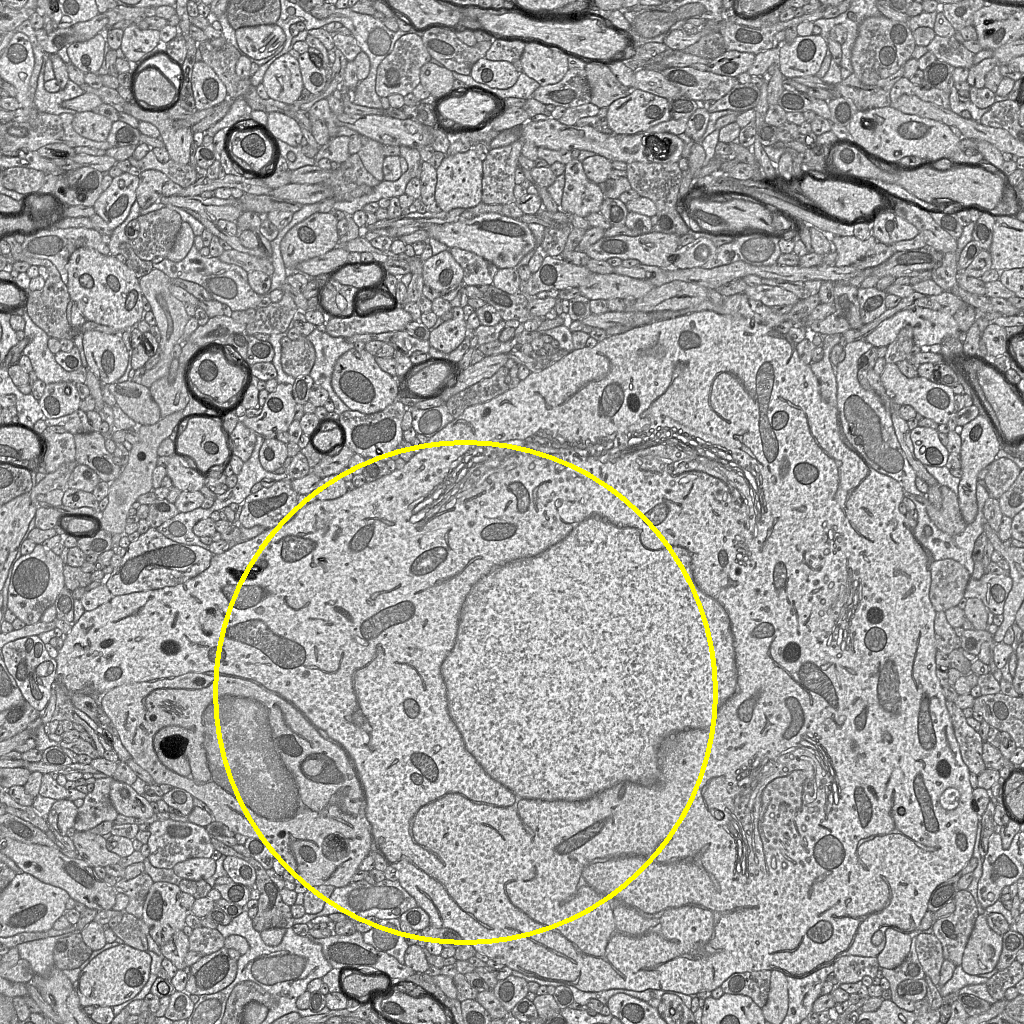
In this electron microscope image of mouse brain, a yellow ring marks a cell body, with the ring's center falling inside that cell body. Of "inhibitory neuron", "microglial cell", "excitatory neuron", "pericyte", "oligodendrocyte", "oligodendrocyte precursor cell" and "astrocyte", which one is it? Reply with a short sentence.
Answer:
It is a microglial cell at the center of the ring.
